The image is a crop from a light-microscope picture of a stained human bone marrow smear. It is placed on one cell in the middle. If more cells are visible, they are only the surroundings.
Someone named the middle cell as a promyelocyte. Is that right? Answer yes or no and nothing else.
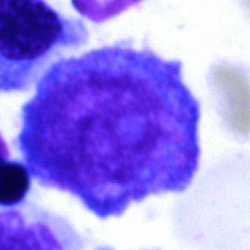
yes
